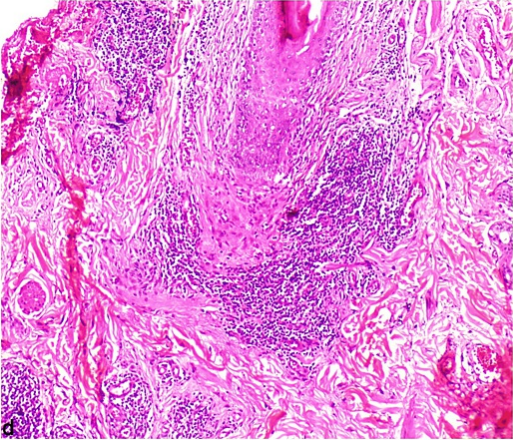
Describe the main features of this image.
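This is a close view of the dermis of skin, crowded with small lymphocytes gathered around a hair follicle. The lymphocytes are small round cells with dark purple, dense nuclei and barely any cytoplasm, packed into sheets. They form a thick collar around a central pale pink structure, the remains of the follicle, which runs upward toward a bright pink hair shaft fragment at the top. Around this cellular cuff lie wavy pink bundles of collagen, and smaller clusters of the same dark cells appear near the lower left, likely around small vessels or follicles.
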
